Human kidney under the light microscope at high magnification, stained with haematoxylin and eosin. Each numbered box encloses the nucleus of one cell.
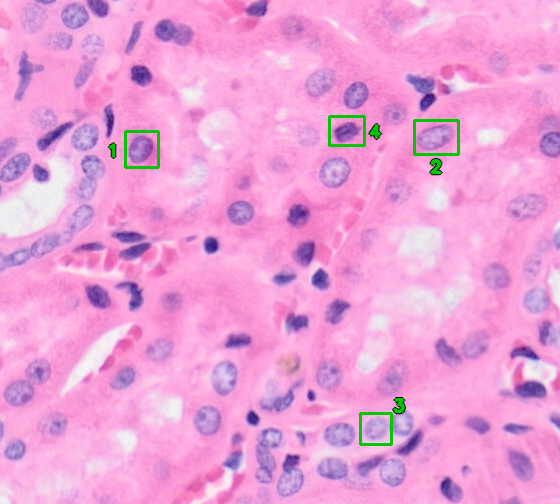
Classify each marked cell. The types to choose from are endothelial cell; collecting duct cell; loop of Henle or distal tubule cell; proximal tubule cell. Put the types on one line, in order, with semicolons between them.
proximal tubule cell; proximal tubule cell; collecting duct cell; proximal tubule cell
